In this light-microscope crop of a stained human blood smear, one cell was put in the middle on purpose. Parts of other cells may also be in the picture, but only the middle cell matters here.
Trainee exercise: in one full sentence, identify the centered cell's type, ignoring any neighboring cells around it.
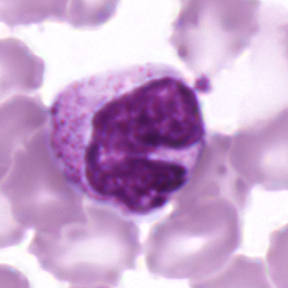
Occupying the centre of the crop is a band neutrophil.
